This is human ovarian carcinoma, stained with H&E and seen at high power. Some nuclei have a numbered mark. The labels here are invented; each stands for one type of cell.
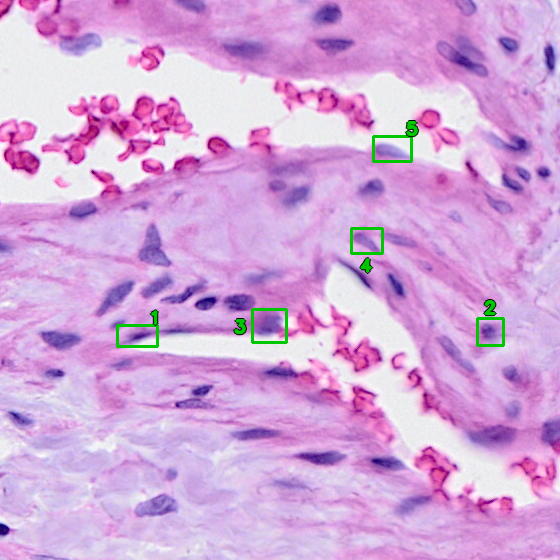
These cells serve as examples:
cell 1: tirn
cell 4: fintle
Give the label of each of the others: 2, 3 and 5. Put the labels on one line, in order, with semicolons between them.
fintle; tirn; tirn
